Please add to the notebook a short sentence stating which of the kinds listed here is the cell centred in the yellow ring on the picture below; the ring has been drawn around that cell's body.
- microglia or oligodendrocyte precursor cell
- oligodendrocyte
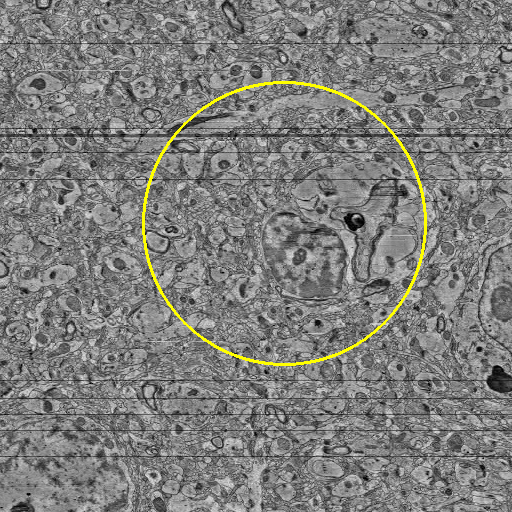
The cell centred in the yellow ring is an oligodendrocyte.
